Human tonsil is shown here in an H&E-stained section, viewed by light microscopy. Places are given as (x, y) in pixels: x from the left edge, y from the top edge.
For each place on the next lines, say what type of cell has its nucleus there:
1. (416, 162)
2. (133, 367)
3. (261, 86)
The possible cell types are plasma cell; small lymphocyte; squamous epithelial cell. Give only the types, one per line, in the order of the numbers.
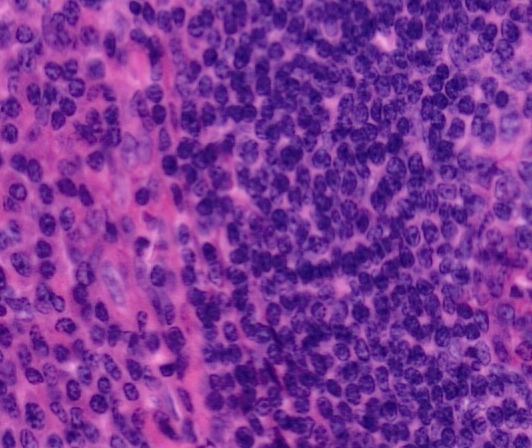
small lymphocyte
plasma cell
small lymphocyte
